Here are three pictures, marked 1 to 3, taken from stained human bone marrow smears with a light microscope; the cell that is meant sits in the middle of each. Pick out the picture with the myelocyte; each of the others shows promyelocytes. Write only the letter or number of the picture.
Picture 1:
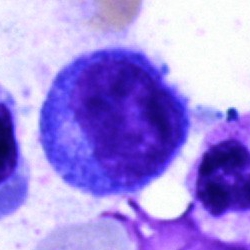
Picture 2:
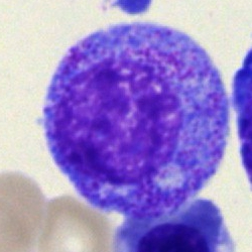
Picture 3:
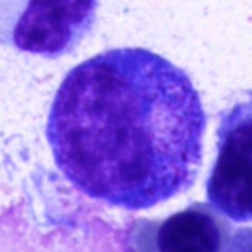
2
